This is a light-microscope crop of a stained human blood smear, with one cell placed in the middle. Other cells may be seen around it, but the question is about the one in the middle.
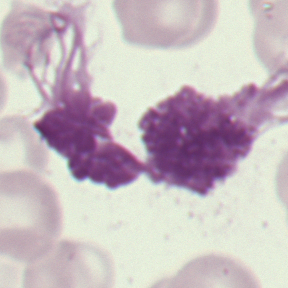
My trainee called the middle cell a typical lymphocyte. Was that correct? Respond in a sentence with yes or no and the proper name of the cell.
No, this one is a smudge cell; it is not a typical lymphocyte.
